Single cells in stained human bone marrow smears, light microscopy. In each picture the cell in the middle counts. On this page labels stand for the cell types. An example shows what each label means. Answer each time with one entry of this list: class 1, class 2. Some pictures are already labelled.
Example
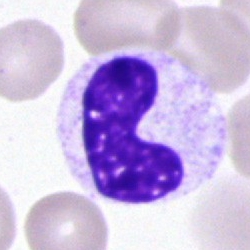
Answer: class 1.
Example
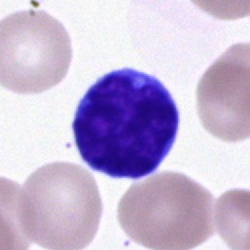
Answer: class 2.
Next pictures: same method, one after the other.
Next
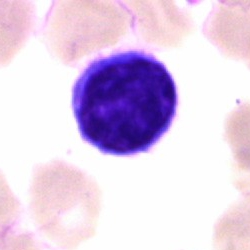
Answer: class 2.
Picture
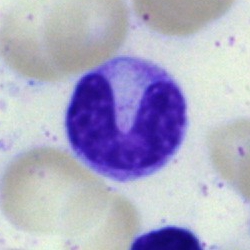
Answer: class 1.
